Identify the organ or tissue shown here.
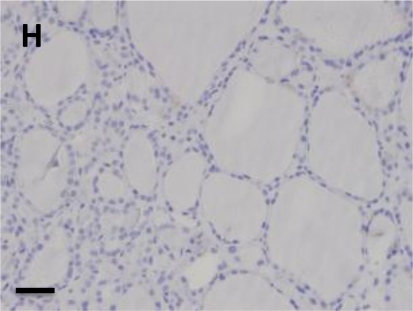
Thyroid tissue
